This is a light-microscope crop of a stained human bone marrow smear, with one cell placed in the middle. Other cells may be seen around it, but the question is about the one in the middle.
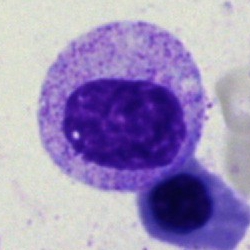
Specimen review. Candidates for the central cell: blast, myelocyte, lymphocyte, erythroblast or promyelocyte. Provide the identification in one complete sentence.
Located at the centre of the crop is a myelocyte.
